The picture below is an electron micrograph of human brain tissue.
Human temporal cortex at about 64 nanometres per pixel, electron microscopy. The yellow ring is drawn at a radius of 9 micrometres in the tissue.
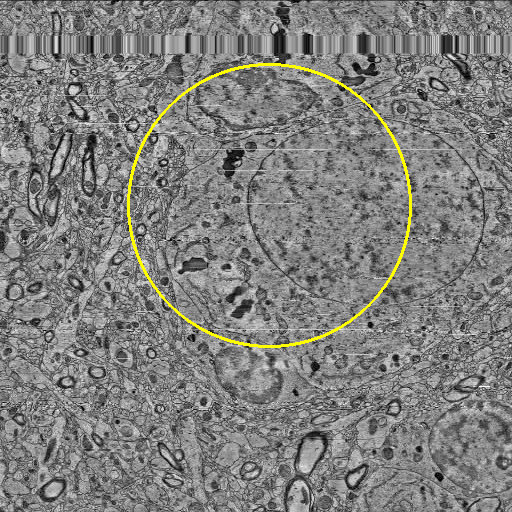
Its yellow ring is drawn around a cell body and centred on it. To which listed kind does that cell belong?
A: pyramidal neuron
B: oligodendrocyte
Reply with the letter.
A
